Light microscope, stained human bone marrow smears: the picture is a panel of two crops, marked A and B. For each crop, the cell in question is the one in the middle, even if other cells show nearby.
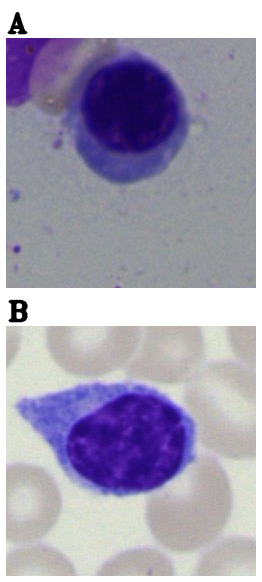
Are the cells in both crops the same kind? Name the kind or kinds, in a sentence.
No, crop A is of an erythroblast, and crop B is of a lymphocyte.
